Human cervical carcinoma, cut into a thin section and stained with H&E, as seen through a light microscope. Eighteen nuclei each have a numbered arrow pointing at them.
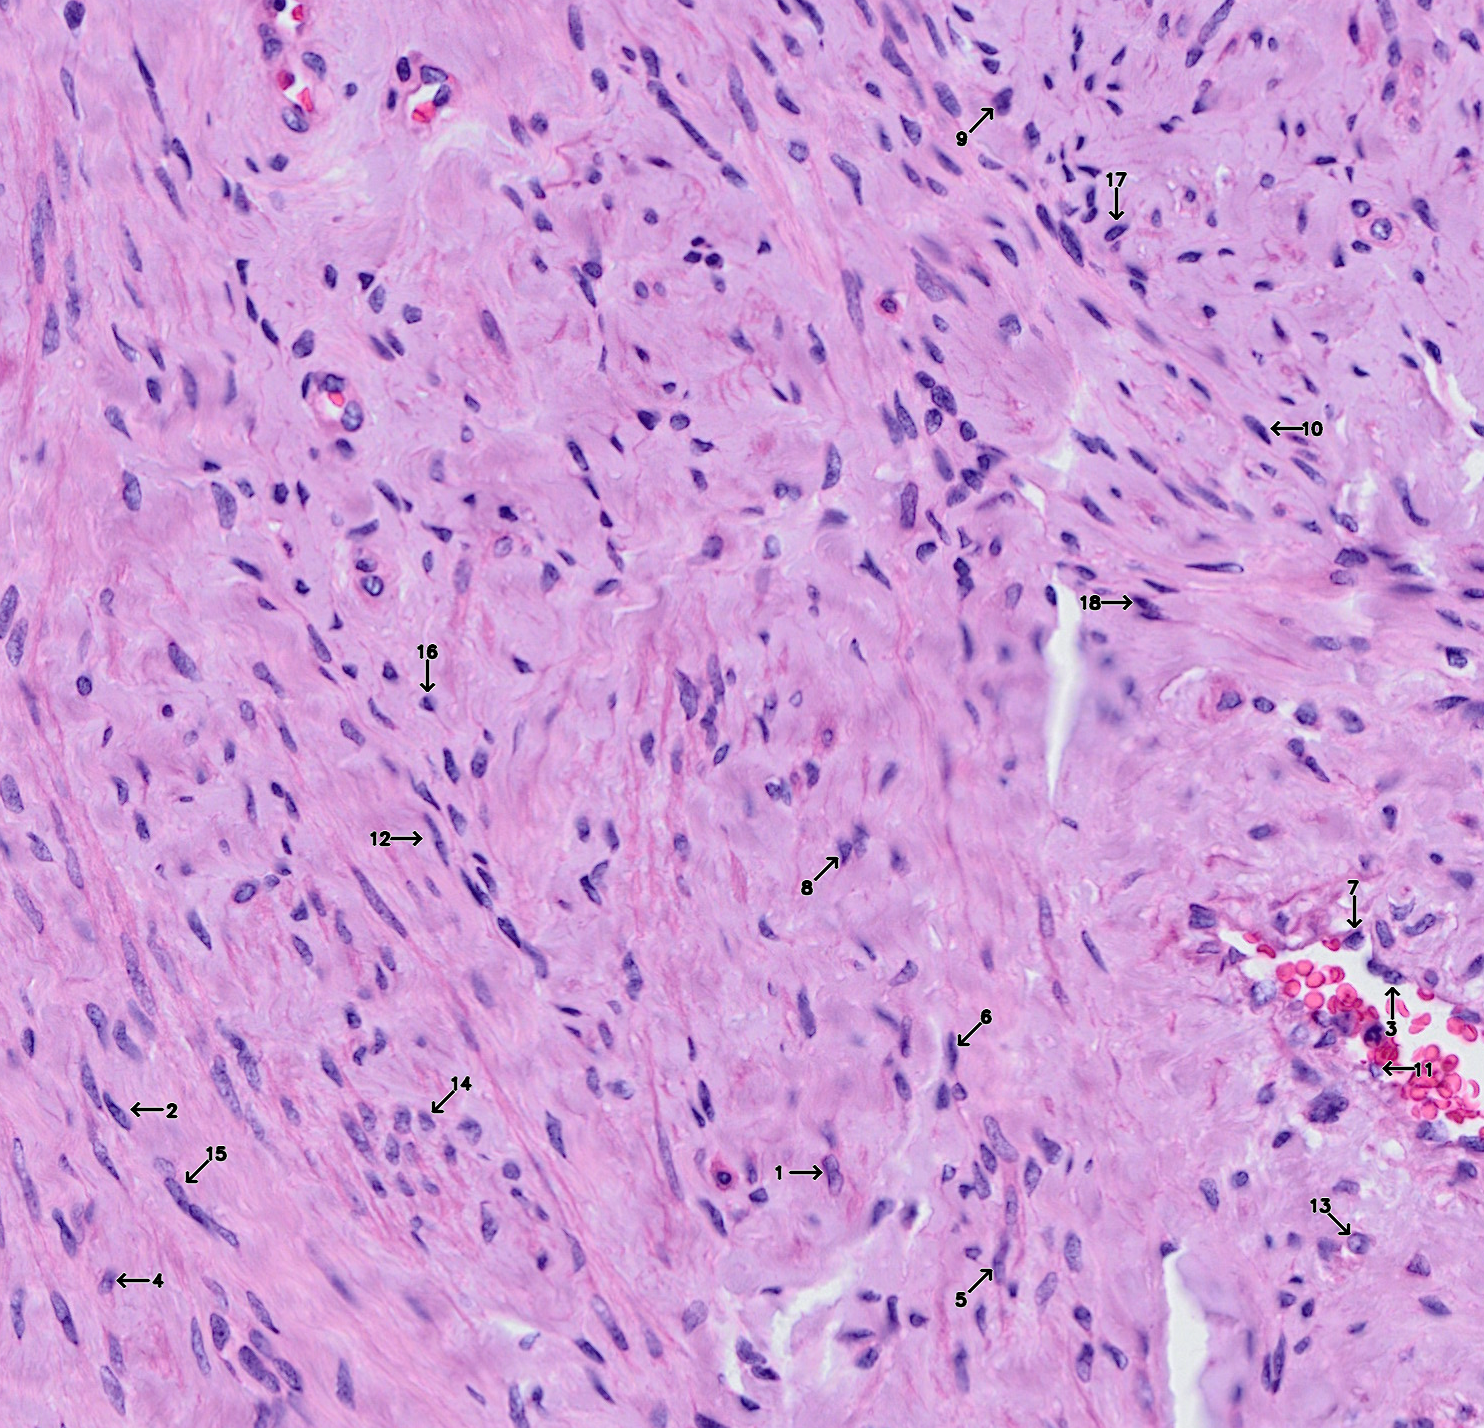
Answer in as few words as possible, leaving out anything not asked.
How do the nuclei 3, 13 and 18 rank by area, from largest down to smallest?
13, 3, 18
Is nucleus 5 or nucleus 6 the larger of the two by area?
5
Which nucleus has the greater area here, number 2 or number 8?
2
